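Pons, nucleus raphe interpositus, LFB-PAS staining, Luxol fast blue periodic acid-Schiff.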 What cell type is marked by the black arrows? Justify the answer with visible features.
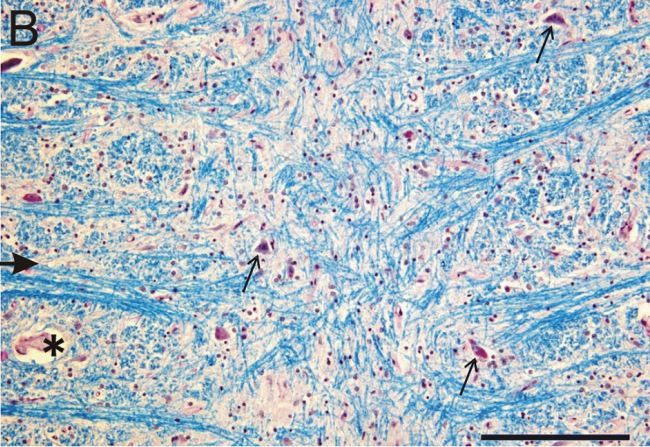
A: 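The arrows point to large magenta cell bodies much bigger than the surrounding small nuclei. The marked cells are polygonal to elongated and lie between blue fiber bundles. So: Omnipause neurons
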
